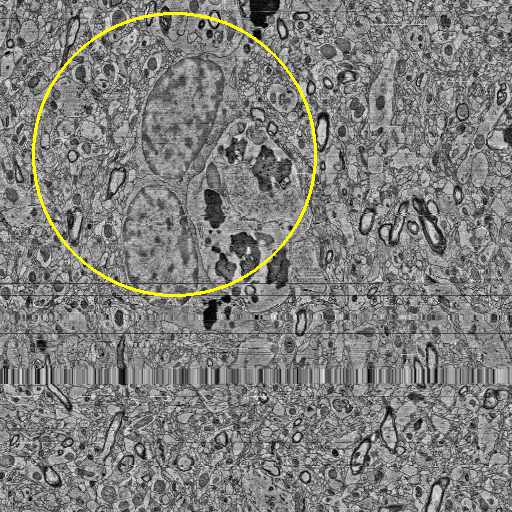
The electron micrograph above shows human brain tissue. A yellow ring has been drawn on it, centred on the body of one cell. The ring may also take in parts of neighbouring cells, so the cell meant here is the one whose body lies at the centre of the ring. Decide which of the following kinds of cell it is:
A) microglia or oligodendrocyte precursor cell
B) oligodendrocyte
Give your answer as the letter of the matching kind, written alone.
B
